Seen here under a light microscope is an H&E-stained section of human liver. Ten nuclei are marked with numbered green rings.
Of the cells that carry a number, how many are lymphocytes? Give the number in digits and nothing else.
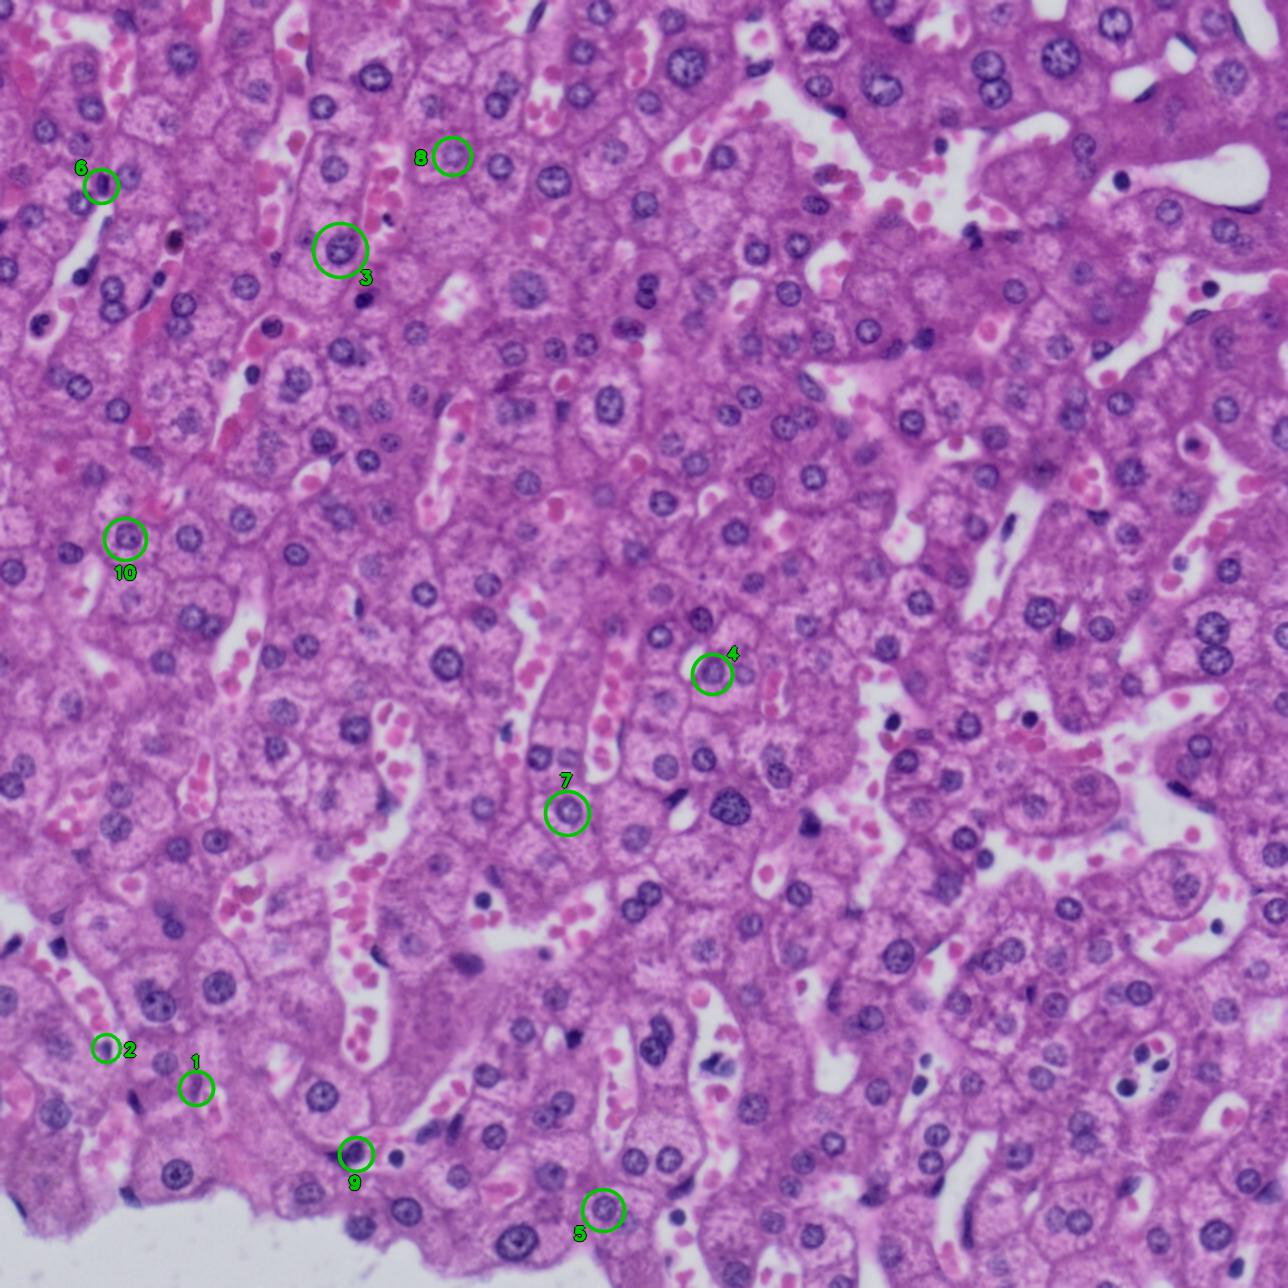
1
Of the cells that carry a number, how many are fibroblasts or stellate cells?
1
